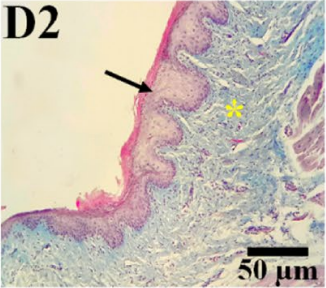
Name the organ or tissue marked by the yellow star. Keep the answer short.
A: Lamina propria layer.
